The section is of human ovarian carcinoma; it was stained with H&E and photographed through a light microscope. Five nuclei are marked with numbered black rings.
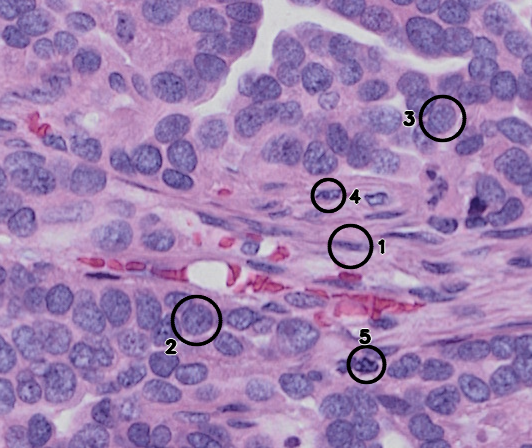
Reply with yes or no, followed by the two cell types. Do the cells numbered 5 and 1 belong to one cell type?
No, cell 5 is a lymphocyte and cell 1 is a fibroblast.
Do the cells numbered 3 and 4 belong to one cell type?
No, cell 3 is a carcinoma cell and cell 4 is a fibroblast.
